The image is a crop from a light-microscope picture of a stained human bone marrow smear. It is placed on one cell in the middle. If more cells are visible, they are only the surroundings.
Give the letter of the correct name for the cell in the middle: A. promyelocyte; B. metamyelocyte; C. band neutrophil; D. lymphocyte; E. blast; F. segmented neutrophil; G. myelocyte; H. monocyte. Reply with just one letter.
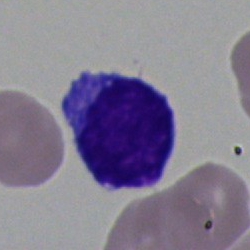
E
